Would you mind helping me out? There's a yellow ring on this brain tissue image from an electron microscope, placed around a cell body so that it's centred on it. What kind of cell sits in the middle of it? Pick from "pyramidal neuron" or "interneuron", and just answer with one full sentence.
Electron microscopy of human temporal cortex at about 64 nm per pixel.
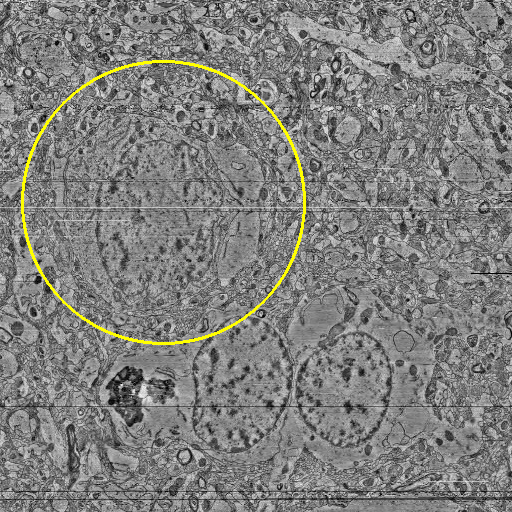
What sits in the middle of that yellow ring is an interneuron, from your choices.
